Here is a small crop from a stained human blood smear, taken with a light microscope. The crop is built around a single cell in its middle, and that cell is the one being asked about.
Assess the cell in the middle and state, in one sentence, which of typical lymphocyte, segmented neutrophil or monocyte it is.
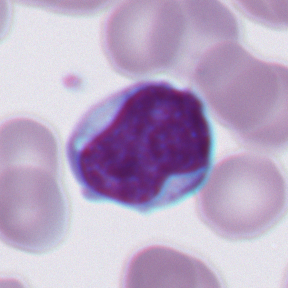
The centrally located cell in the crop is a typical lymphocyte.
